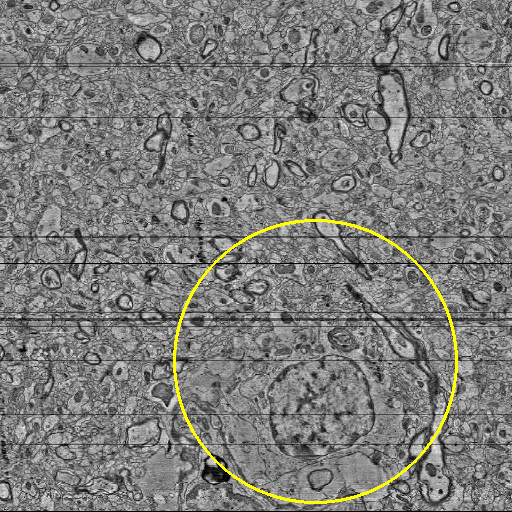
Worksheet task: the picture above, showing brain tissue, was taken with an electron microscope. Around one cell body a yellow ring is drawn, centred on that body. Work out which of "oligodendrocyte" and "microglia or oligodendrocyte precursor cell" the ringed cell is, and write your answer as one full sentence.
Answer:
It is a microglial cell or oligodendrocyte precursor cell whose cell body lies at the centre of the yellow ring.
